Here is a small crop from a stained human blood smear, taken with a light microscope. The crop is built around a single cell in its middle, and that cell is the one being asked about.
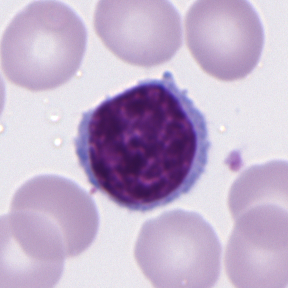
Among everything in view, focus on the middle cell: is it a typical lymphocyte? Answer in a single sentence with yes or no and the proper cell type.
Yes, a typical lymphocyte occupies the middle of the crop.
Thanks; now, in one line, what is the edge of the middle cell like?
Its outline is ragged or drawn out into projections, not smooth.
